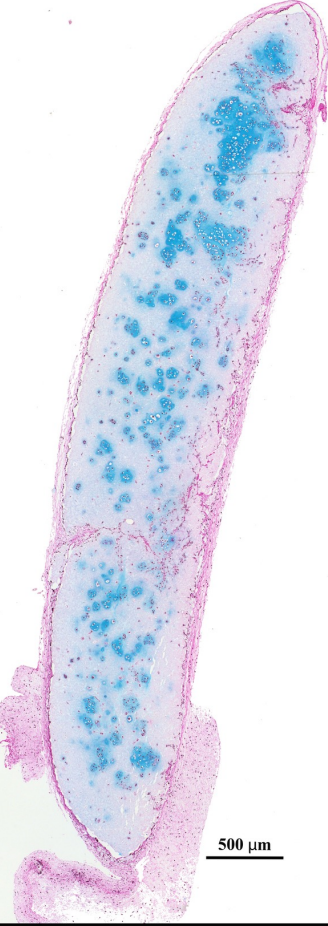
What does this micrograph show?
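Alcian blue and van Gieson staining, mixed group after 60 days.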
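This is a whole elongated section in which many blue-stained patches of extracellular matrix are scattered through a pale, lightly blue ground. The patches range from small dots to larger irregular areas, the largest near the upper end, where clusters of small clear spaces holding cells can be seen within the blue. A thin pink fibrous layer wraps around the outside of the section, and looser pink tissue hangs from its lower end.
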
